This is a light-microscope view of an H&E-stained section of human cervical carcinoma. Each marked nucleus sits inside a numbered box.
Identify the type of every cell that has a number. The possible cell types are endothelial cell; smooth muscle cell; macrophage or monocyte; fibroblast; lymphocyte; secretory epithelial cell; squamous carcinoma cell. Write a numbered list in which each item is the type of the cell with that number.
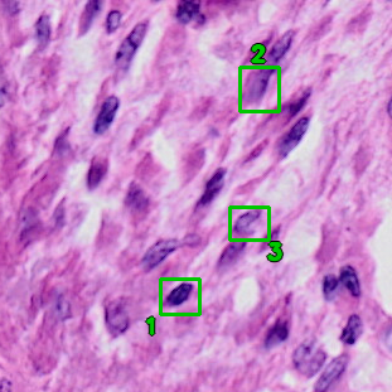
1. lymphocyte
2. fibroblast
3. fibroblast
